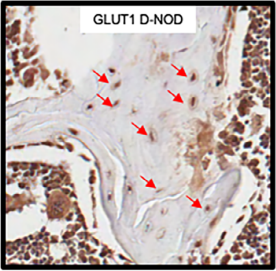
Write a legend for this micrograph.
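Pale, faintly lamellar trabeculae of bone cross the field, with densely packed marrow cells filling the spaces between them; the marrow nuclei are small, round and crowded, many brown. Within the bone matrix, scattered single cells sit in small lacunae, their nuclei flattened and dark, and several of these show brown staining around them. Their isolated position enclosed in mineralised matrix marks them as osteocytes in cancellous bone, many of them stained, set against the busy haematopoietic marrow at the trabecular edges.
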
